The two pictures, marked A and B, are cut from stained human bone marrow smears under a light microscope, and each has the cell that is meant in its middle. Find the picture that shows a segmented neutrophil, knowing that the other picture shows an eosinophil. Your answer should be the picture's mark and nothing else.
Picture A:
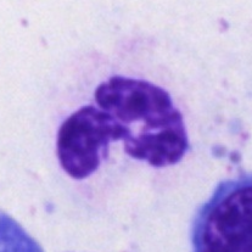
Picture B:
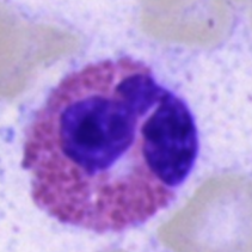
A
